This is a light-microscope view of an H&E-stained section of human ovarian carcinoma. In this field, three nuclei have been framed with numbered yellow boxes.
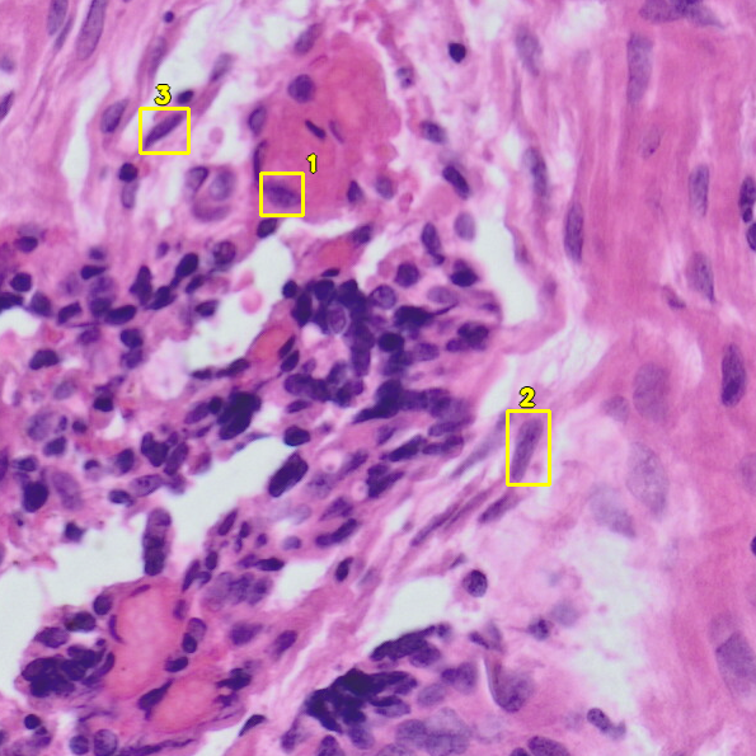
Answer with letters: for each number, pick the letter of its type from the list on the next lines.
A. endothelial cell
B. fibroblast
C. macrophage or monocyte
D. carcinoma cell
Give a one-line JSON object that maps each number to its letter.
{"1": "A", "2": "B", "3": "B"}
